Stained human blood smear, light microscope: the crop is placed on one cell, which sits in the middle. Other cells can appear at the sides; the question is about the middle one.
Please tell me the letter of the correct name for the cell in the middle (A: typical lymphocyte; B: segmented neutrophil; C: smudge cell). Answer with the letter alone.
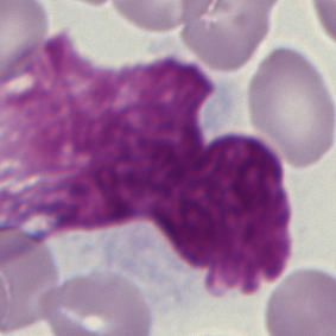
C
